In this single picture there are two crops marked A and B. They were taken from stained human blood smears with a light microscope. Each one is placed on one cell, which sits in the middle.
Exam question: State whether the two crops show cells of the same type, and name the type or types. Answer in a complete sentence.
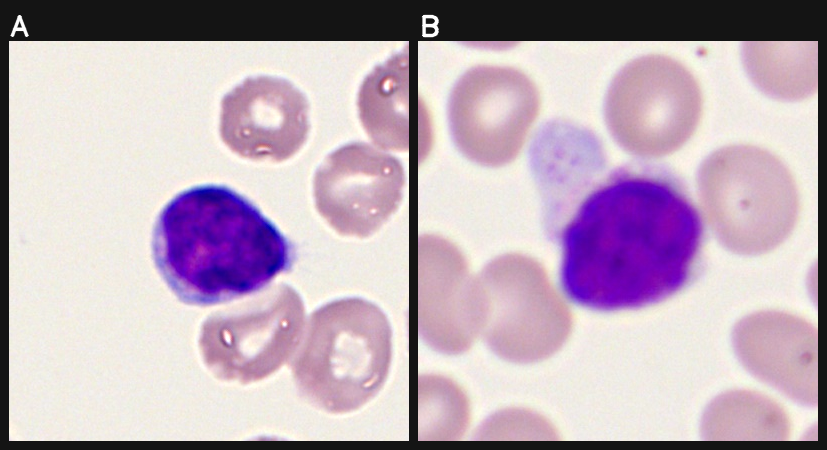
Yes, these two crops both show lymphocytes.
